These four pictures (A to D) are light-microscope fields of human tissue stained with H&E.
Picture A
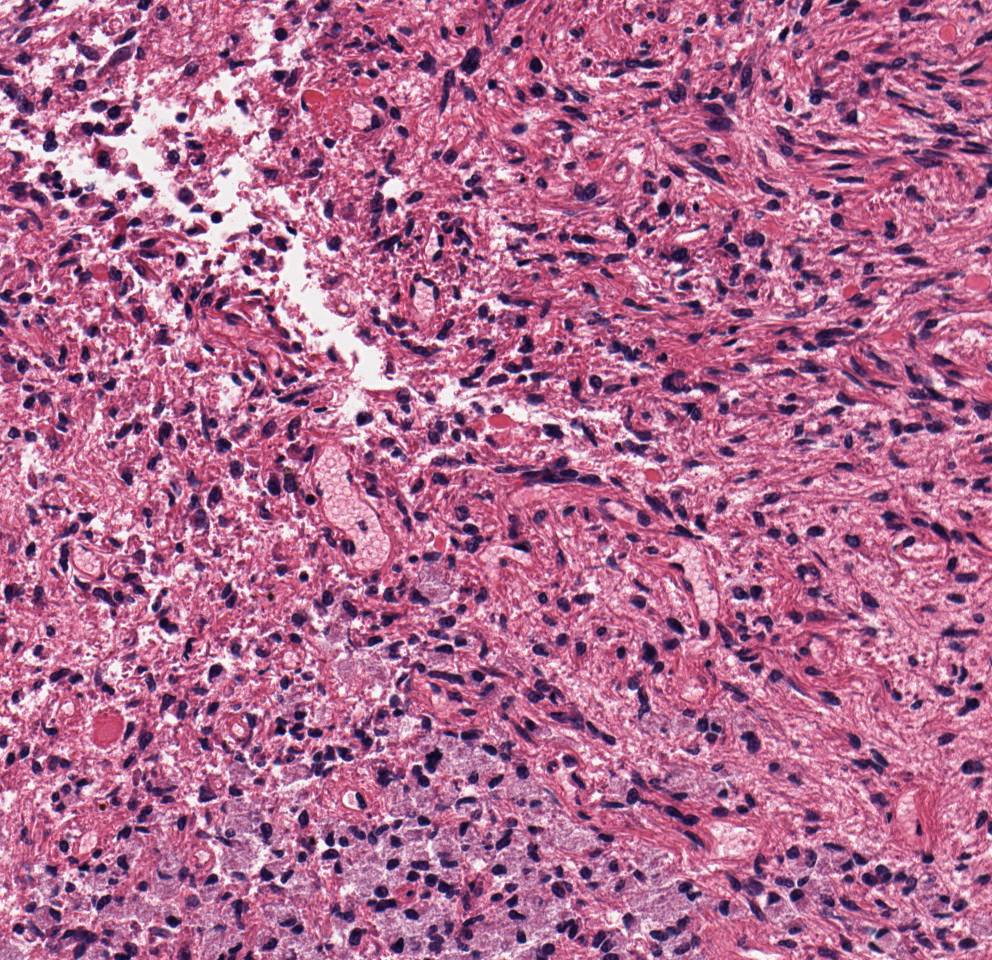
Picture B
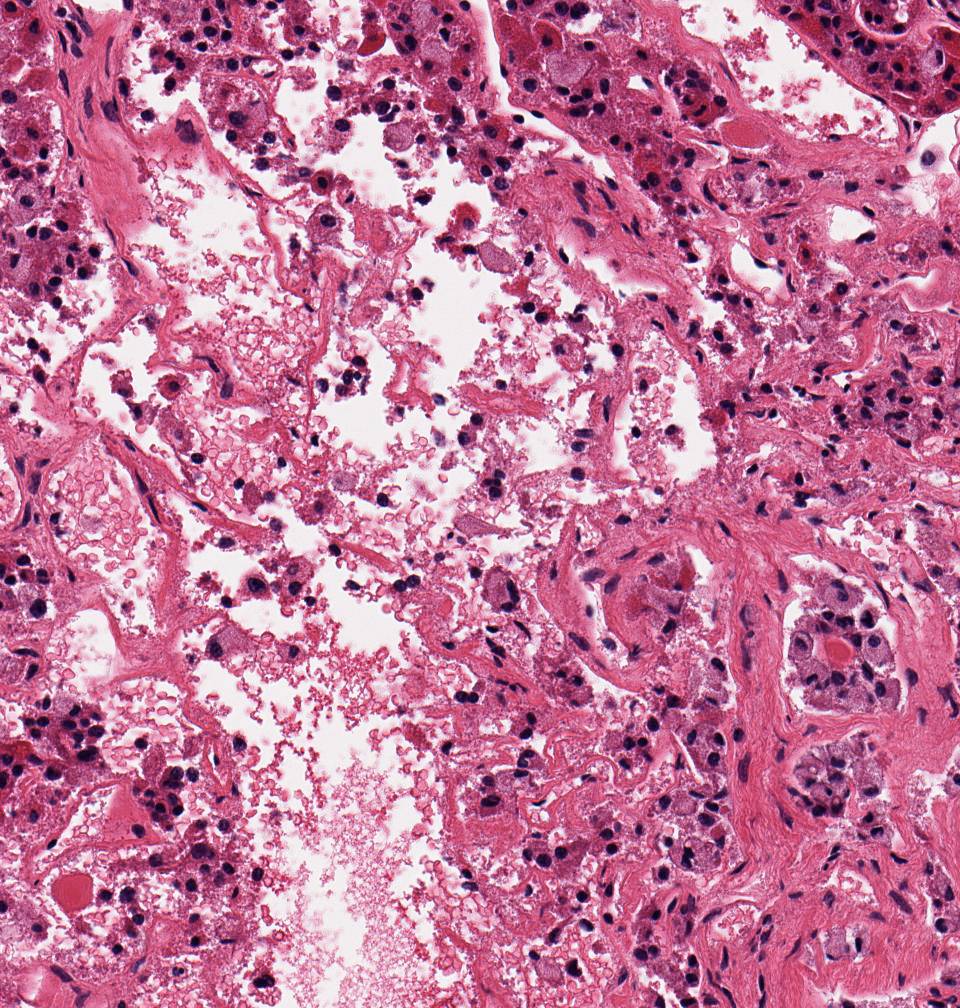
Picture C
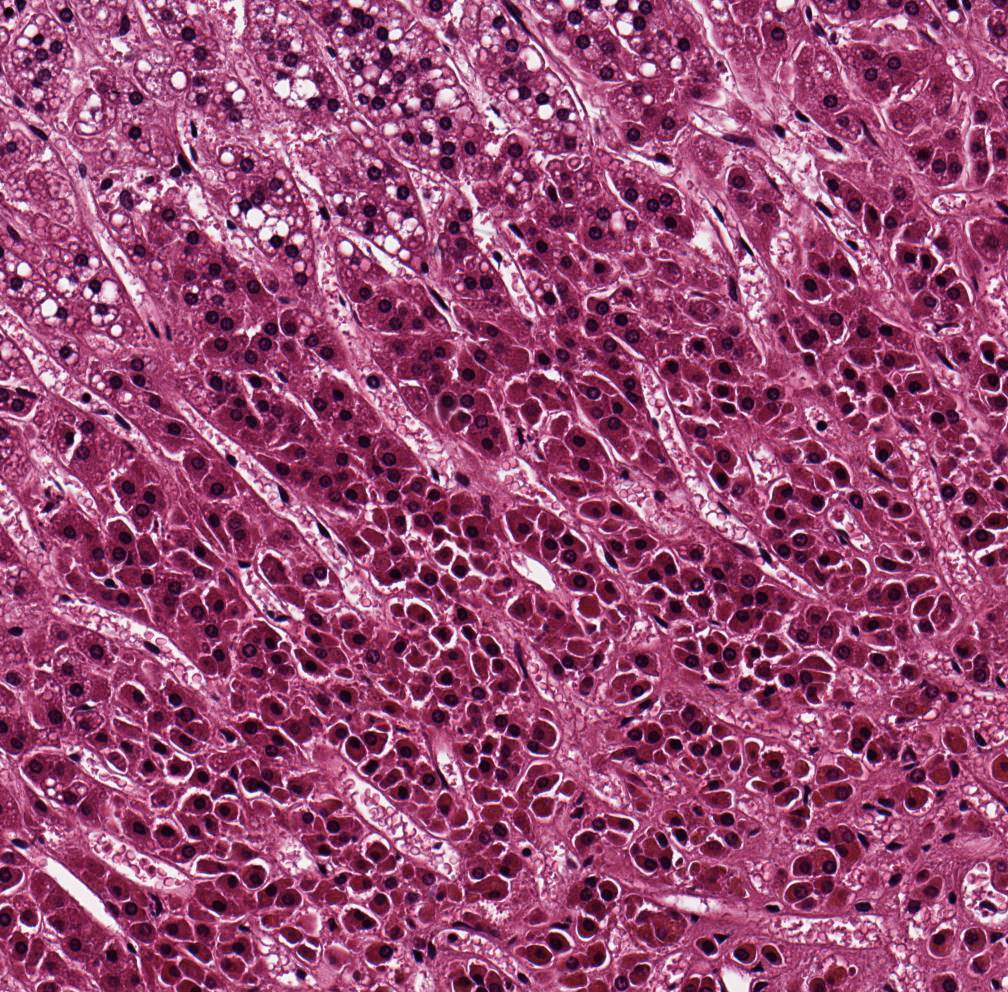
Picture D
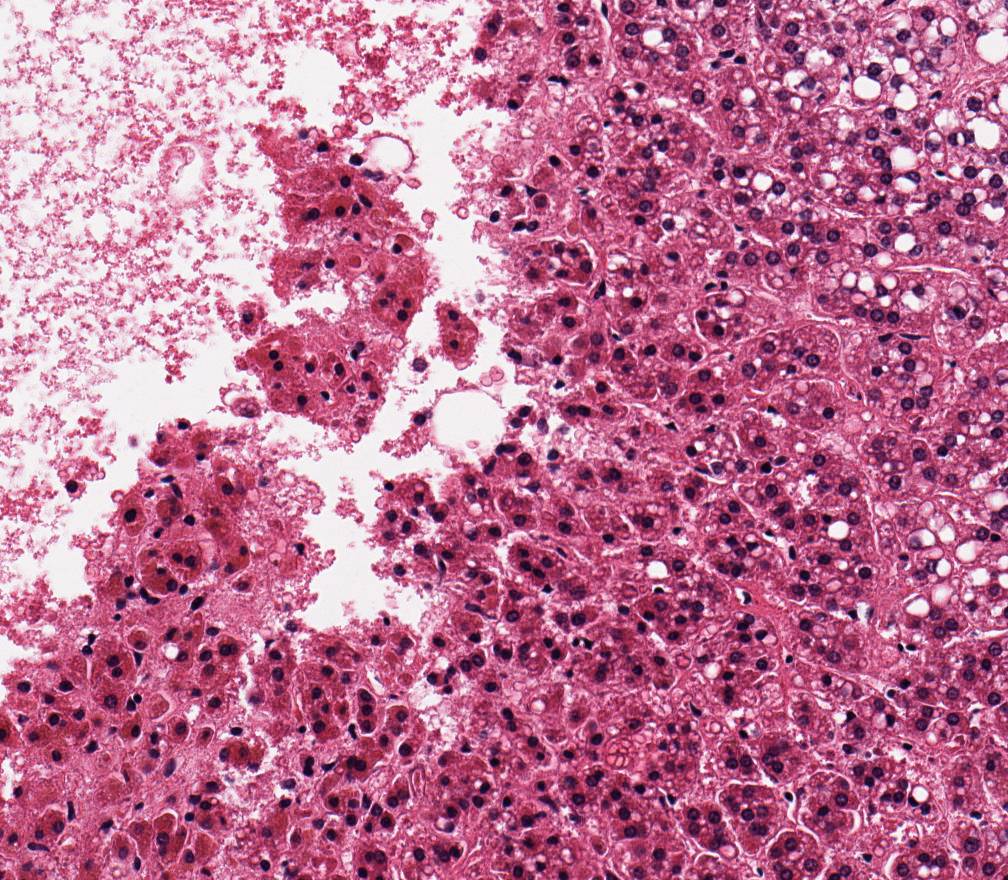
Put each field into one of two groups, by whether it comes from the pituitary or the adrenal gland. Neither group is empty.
A: pituitary
B: pituitary
C: adrenal gland
D: adrenal gland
